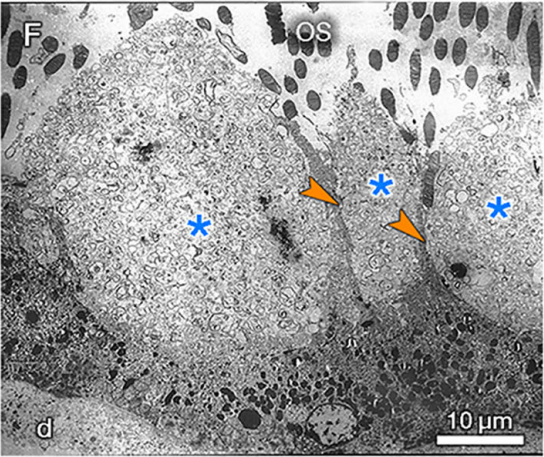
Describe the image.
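Retinal pigment epithelium with several large rounded subretinal drusenoid deposits of pale, loosely vesicular material on its apical side. Thin cytoplasmic protrusions rise from the epithelium between the deposits toward the outer segments above.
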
